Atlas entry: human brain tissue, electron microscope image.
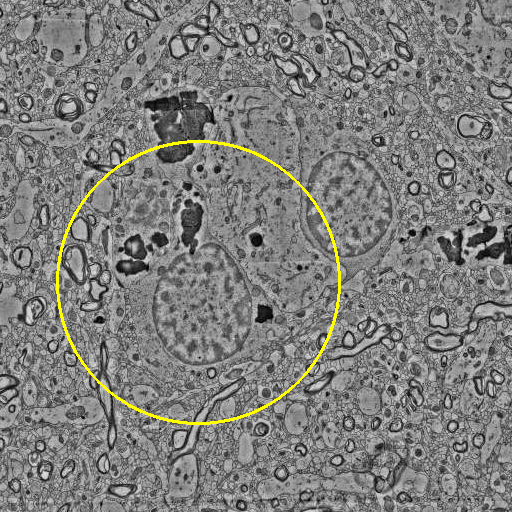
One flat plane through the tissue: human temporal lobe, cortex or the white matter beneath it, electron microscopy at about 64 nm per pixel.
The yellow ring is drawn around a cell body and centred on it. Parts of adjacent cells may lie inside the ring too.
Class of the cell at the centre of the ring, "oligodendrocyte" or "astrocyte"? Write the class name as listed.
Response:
oligodendrocyte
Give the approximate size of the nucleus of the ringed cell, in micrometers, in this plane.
About 8 by 6 micrometres in this plane.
